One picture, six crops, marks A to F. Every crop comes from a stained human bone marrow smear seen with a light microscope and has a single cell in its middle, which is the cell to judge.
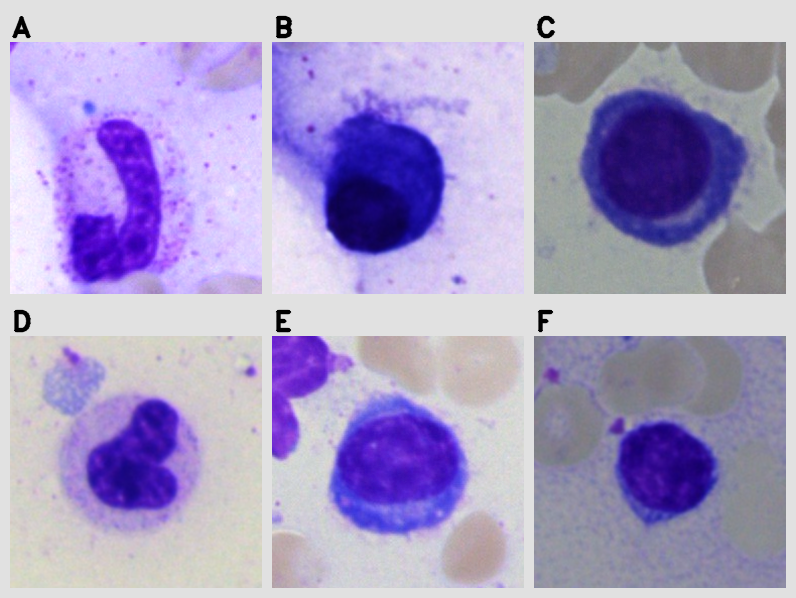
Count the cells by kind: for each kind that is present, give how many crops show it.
plasma cell: 3
band neutrophil: 2
lymphocyte: 1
